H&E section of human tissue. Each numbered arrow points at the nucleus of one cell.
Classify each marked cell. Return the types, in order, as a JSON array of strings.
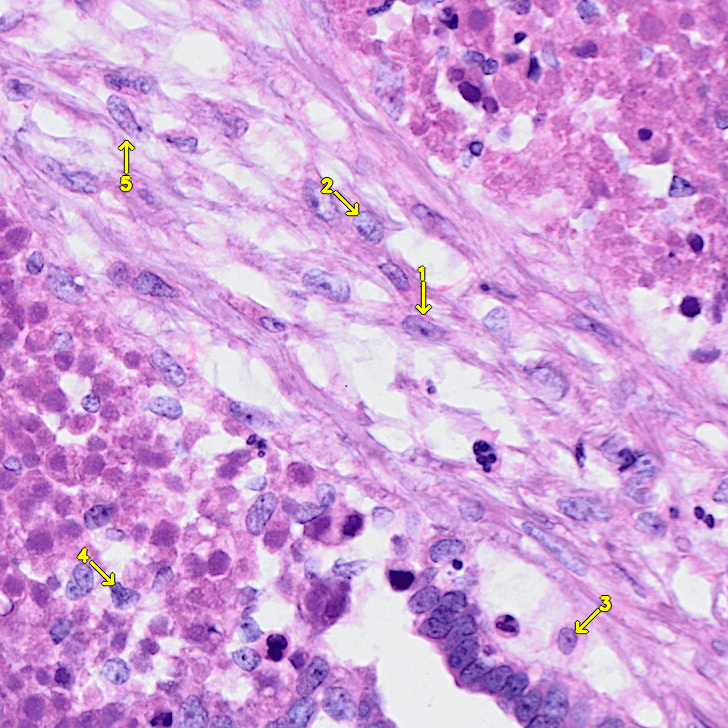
["fibroblast", "fibroblast", "macrophage or monocyte", "macrophage or monocyte", "fibroblast"]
